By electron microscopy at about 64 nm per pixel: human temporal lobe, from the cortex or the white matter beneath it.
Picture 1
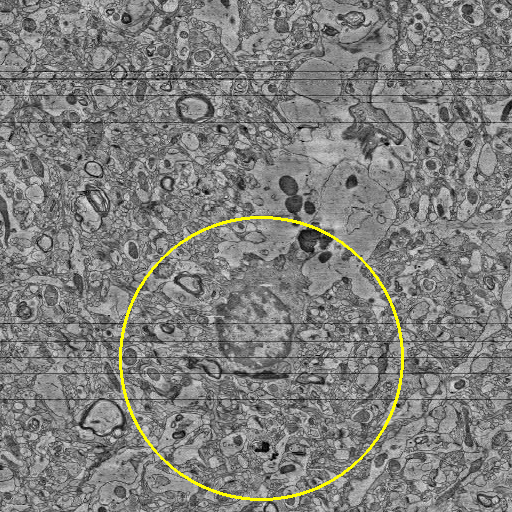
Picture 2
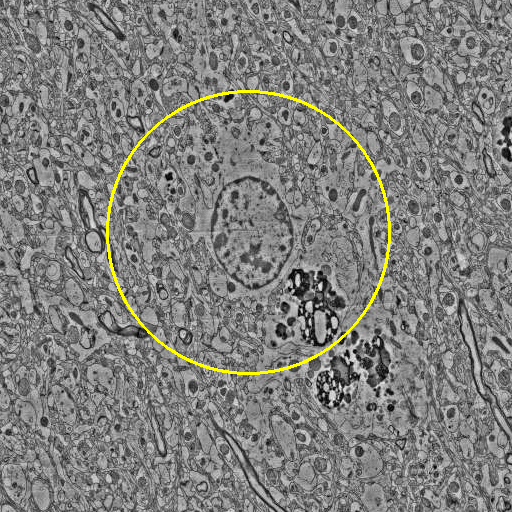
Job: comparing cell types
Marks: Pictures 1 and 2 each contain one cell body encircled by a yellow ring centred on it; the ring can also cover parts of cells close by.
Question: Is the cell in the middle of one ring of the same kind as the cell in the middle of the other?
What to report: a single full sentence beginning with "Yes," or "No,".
No, the cell at the ring centre in Picture 1 and its partner in Picture 2 are of two kinds.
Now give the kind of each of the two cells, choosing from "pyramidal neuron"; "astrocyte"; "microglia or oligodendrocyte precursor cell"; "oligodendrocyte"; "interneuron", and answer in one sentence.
The cell in the first picture is an oligodendrocyte, and the cell in the second is an astrocyte.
